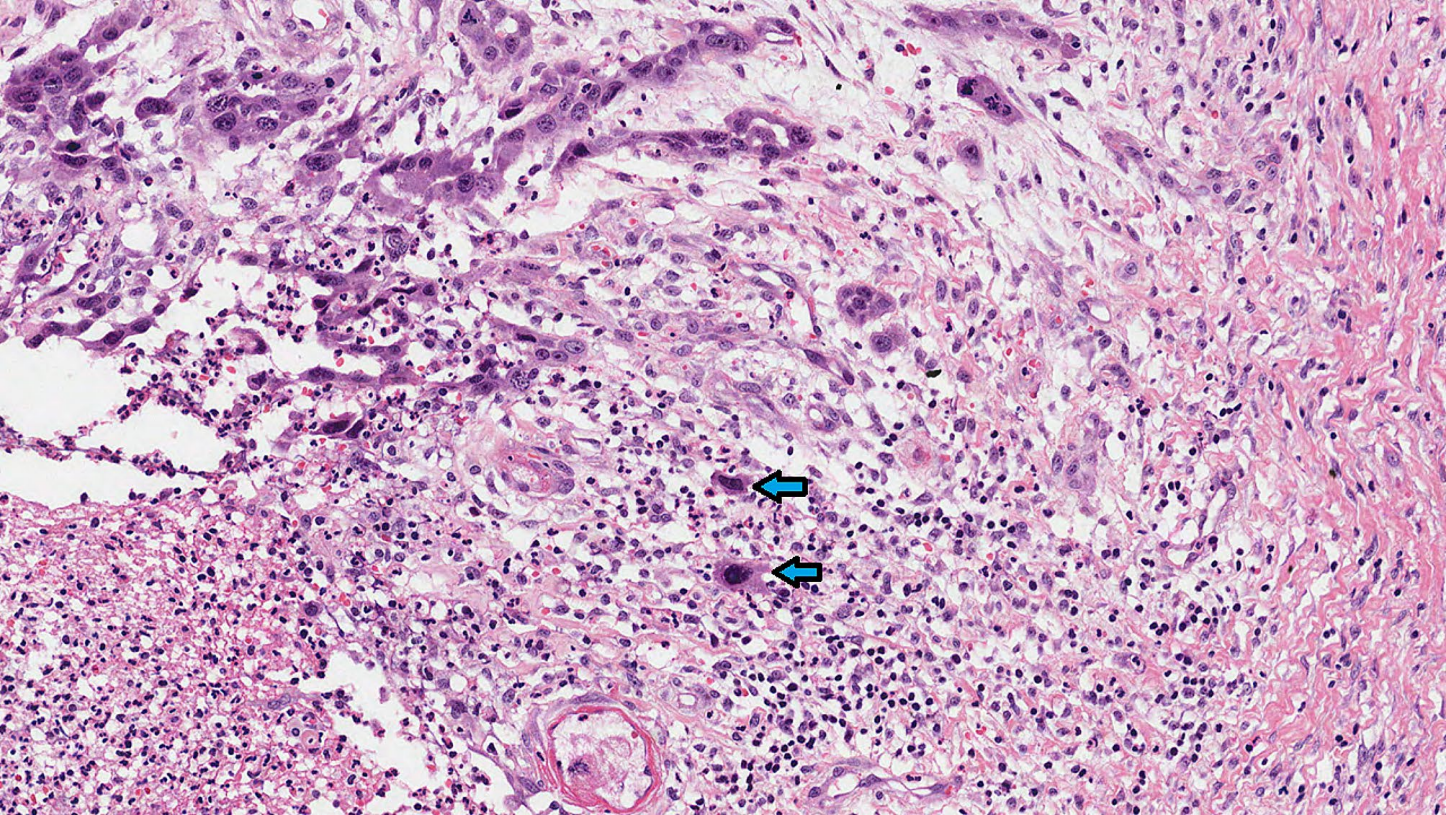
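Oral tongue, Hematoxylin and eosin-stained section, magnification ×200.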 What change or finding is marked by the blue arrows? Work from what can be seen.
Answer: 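Each blue arrow points to a lone cell lying apart from the cords of large epithelial cells at the upper left. The marked cells are surrounded by stroma and small round dark cells rather than by other tumour cells. So: Single cell invasion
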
